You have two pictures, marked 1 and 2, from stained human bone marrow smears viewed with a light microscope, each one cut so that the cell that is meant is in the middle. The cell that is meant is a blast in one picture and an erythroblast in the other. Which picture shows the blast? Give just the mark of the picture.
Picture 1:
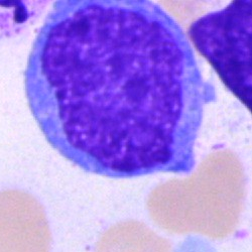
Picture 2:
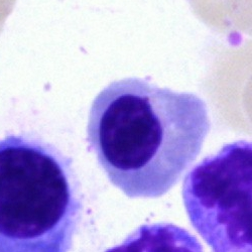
1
